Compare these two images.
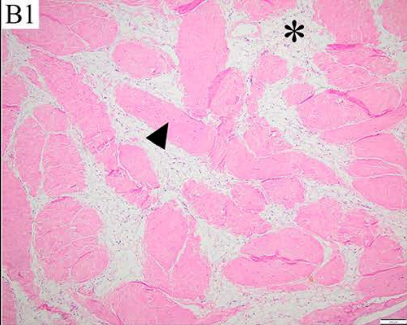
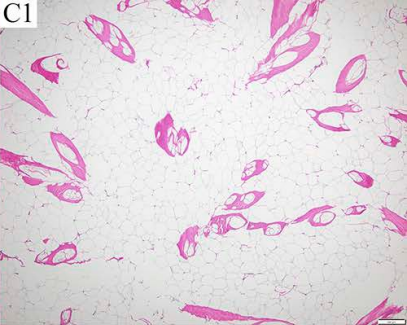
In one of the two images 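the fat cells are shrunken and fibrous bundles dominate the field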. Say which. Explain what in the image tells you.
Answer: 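Second image: large clear fat cells fill most of the field, with scattered thin pink bundles. First image: dense pink bundles fill most of the field, with only small collapsed fat cells between them. The answer: the first image.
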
